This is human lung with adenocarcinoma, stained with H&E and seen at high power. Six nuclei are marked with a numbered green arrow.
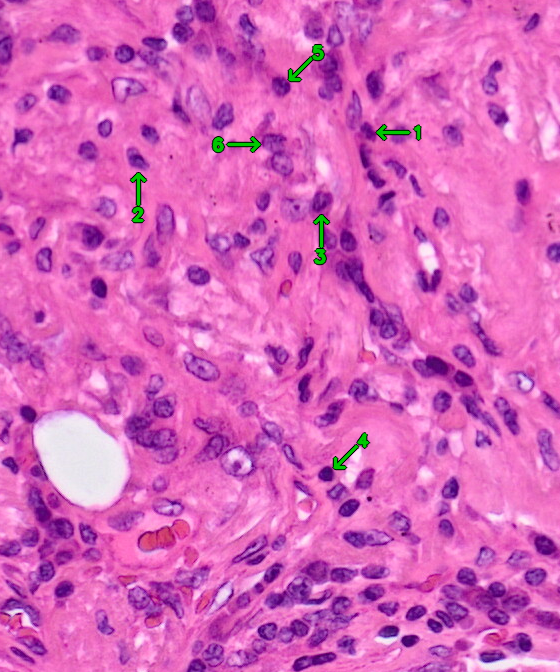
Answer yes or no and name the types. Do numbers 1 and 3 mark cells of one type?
Yes, that is correct, cells 1 and 3 are both plasma cells.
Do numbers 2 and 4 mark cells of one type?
Yes, the two numbered cells 2 and 4 are both lymphocytes.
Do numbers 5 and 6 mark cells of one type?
Yes, cells number 5 and number 6 are both plasma cells.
